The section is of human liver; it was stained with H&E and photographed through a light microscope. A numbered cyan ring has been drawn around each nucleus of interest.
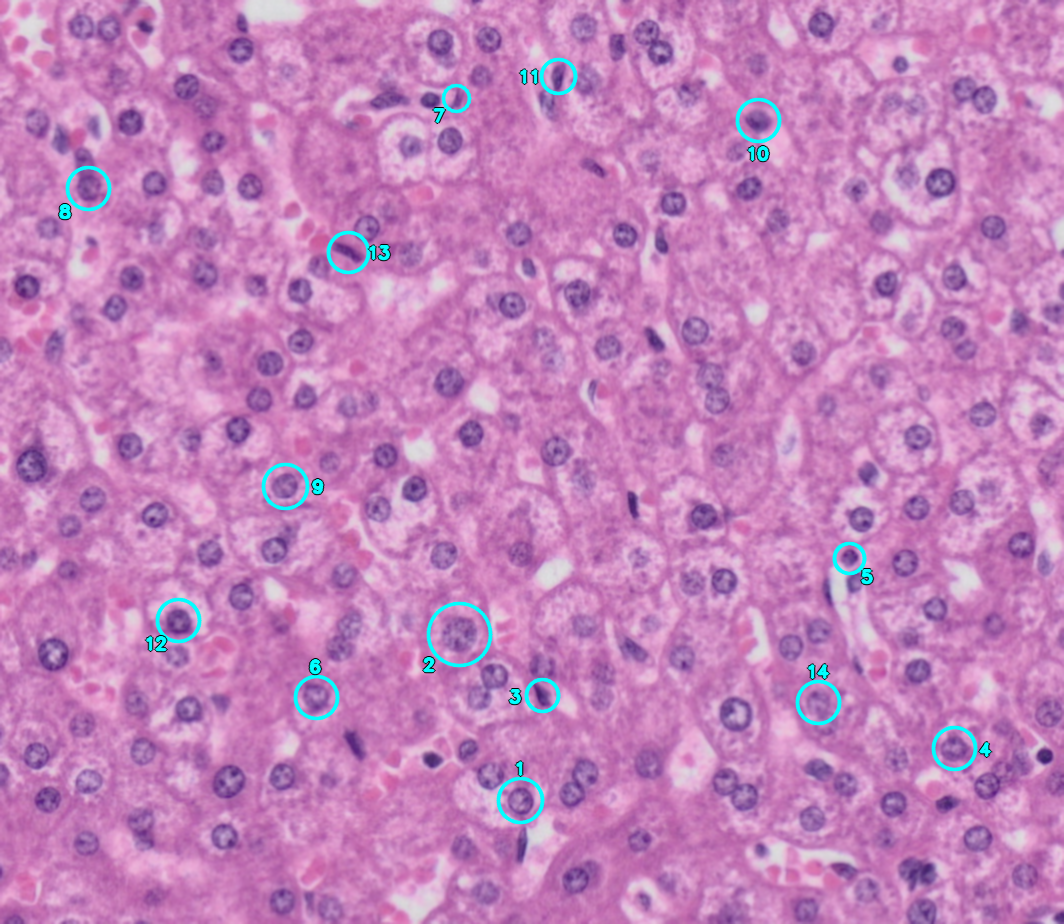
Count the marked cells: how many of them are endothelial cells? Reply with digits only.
2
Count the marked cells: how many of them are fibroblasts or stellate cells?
3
